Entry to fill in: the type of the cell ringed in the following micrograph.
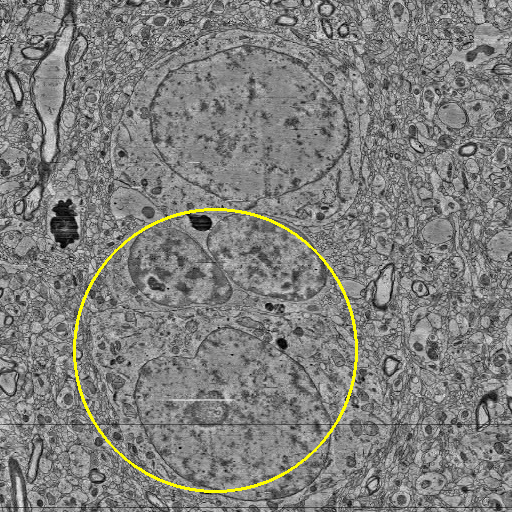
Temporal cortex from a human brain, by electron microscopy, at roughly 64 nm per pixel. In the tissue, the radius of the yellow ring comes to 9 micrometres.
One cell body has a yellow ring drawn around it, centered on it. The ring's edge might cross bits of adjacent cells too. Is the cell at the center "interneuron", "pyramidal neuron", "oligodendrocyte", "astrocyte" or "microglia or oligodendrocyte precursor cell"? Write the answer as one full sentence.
This entry names an interneuron as the cell whose body lies at the ring's center.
